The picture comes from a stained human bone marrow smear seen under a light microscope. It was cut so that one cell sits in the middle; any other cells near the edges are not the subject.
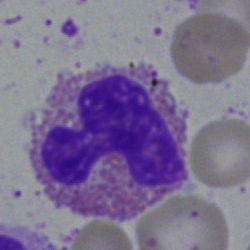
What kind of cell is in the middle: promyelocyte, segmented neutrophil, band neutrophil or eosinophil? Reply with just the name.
eosinophil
